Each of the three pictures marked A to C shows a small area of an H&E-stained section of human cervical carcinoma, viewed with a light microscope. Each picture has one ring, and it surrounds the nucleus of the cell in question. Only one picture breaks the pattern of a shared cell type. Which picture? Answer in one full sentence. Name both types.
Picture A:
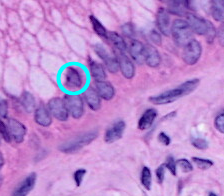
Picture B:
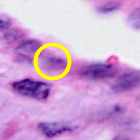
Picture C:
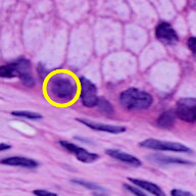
The different one is picture B; it shows an endothelial cell, whereas all the others show secretory epithelial cells.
